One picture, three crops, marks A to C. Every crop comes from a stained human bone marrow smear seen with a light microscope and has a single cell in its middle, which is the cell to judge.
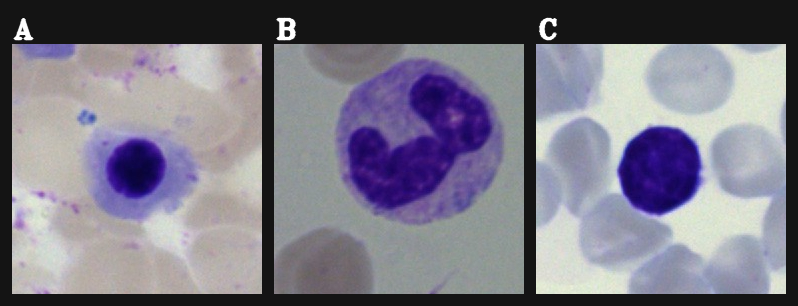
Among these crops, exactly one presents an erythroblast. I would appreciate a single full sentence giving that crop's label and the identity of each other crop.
Crop A is recognised as an erythroblast, whereas crop B is a segmented neutrophil and crop C is a lymphocyte.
